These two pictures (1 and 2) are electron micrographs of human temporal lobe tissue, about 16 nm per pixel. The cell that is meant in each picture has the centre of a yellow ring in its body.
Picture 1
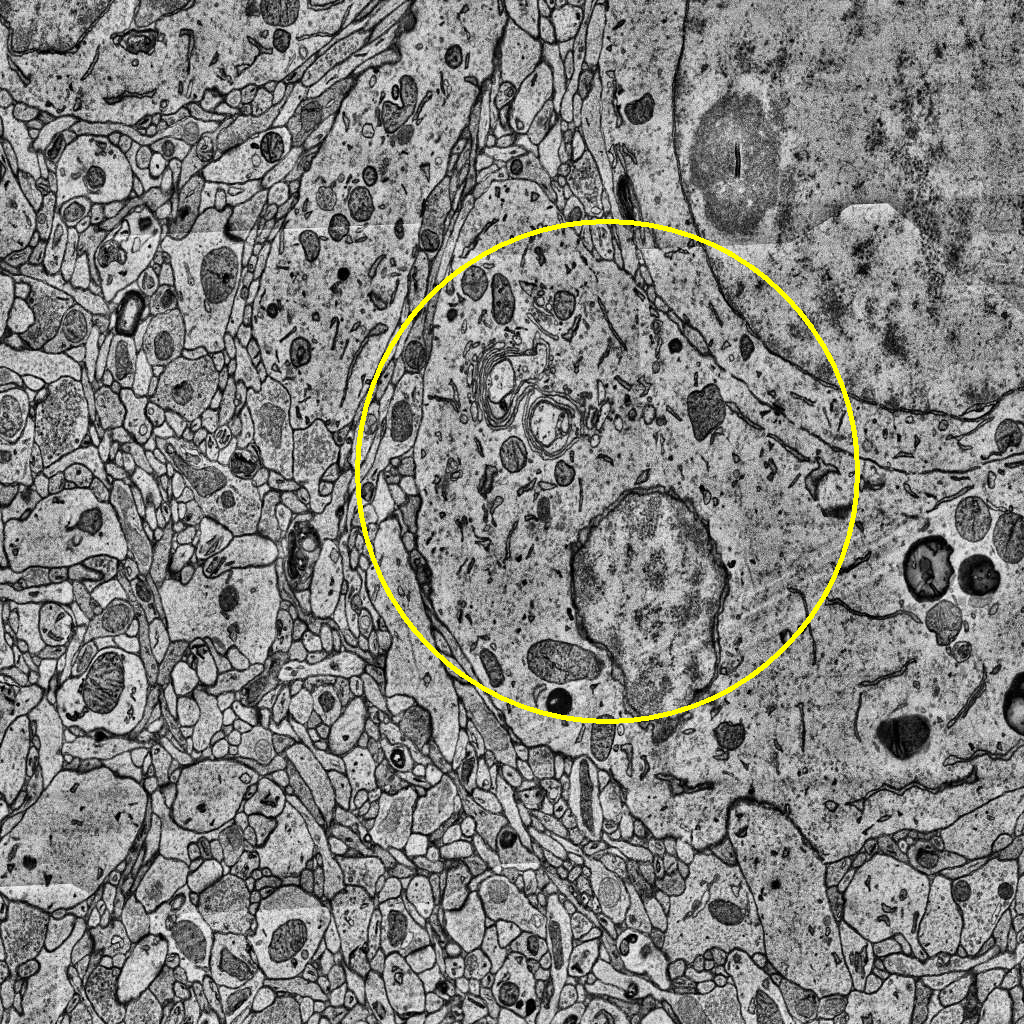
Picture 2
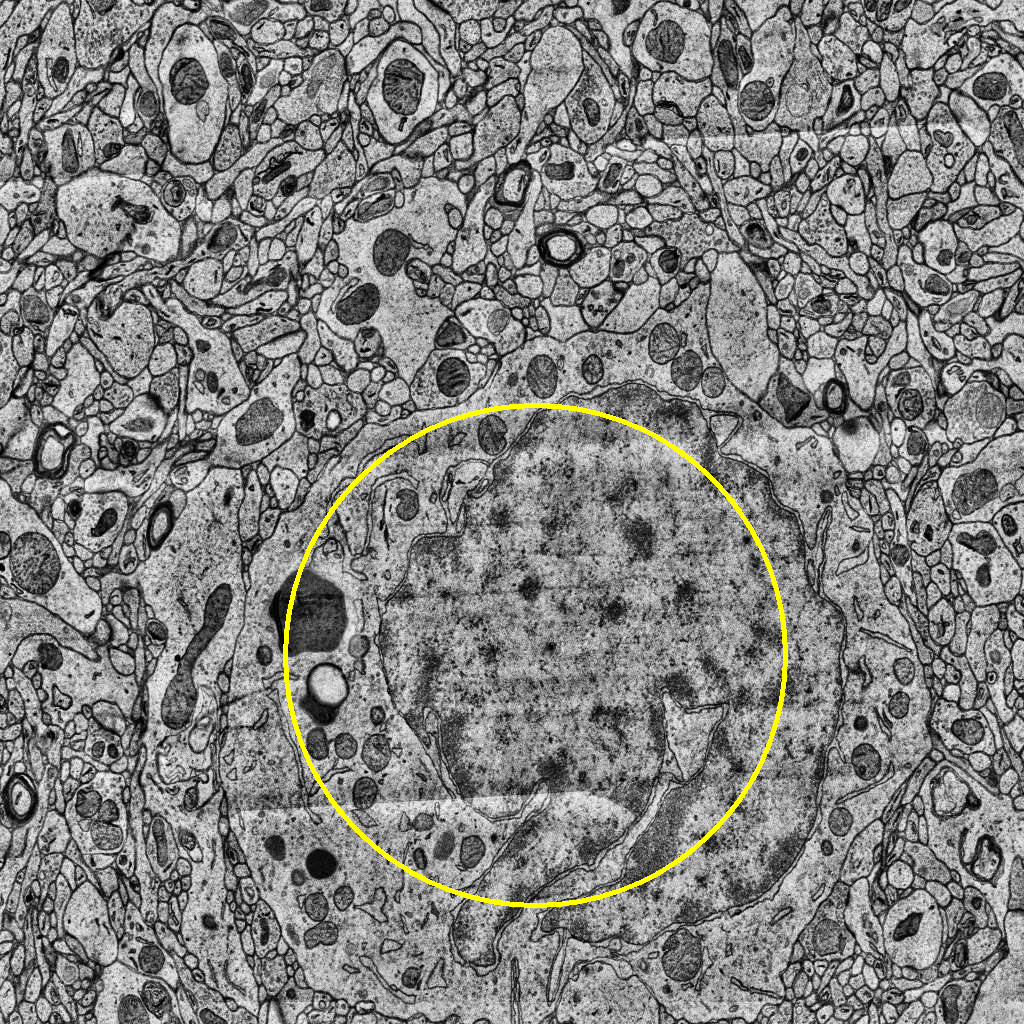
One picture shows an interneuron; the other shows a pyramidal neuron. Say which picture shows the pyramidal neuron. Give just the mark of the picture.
1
